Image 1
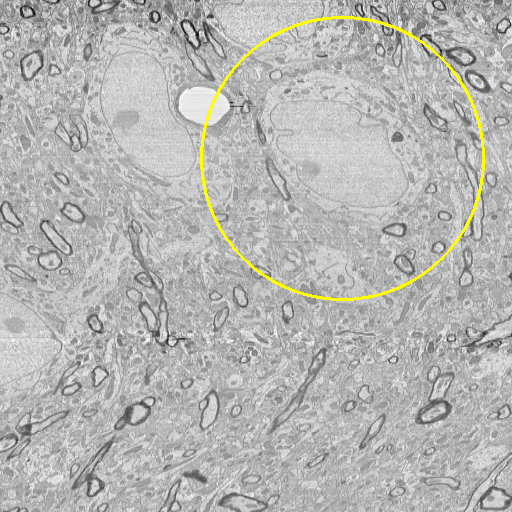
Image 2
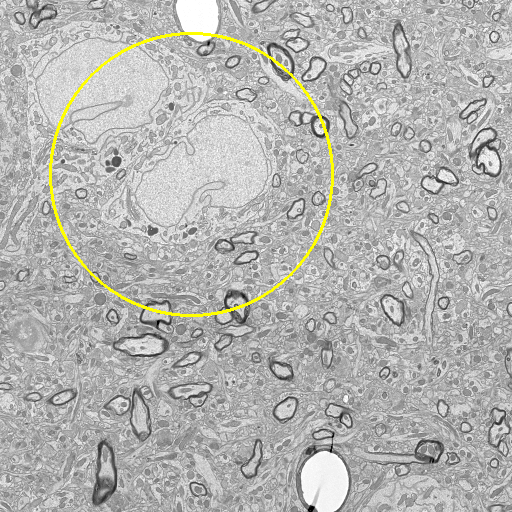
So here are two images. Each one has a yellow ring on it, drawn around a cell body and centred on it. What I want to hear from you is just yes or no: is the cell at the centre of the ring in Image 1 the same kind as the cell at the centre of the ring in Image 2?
no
